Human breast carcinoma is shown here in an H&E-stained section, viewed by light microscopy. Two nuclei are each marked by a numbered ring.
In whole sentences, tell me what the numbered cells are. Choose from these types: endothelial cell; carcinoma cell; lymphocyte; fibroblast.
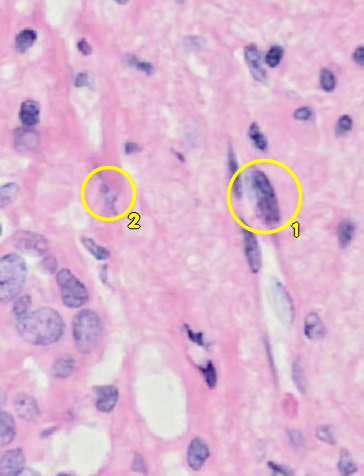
Cell 1 is an endothelial cell. Cell 2 is a fibroblast.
